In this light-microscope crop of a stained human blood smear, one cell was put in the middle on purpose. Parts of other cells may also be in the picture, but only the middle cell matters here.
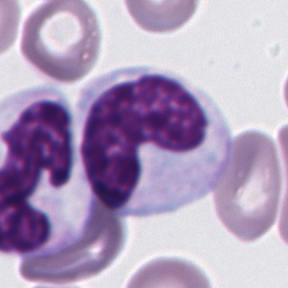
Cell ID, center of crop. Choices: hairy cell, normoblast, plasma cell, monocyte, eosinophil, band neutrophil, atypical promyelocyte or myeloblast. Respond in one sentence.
The cell that lies at the centre of the crop is a band neutrophil.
